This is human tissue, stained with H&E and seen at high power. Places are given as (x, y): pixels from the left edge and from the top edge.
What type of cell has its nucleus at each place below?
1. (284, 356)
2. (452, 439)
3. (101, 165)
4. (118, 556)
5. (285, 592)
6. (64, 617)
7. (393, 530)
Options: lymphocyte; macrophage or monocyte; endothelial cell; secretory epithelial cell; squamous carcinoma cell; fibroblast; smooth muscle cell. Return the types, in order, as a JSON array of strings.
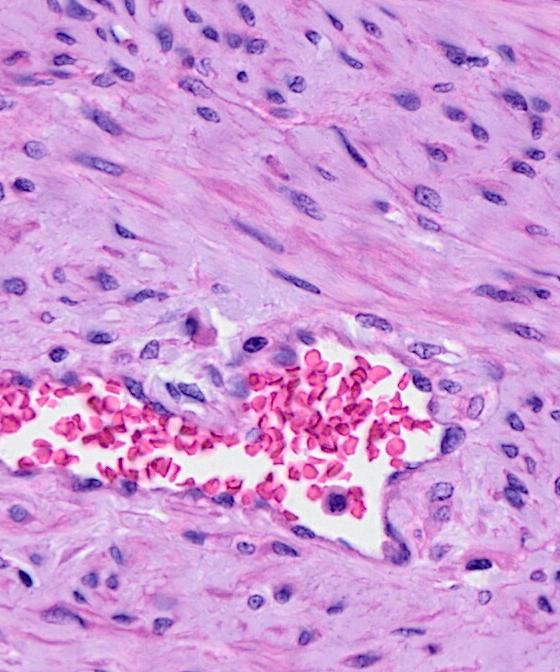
["endothelial cell", "endothelial cell", "smooth muscle cell", "smooth muscle cell", "smooth muscle cell", "smooth muscle cell", "endothelial cell"]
